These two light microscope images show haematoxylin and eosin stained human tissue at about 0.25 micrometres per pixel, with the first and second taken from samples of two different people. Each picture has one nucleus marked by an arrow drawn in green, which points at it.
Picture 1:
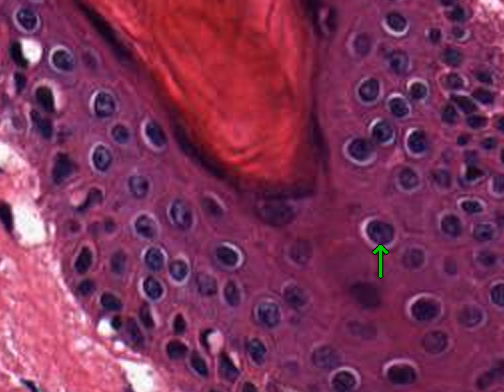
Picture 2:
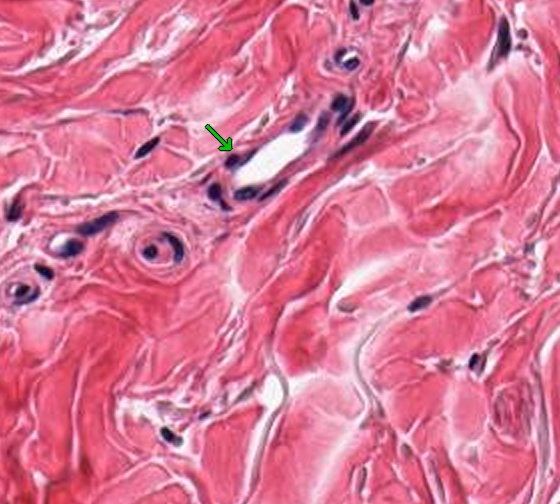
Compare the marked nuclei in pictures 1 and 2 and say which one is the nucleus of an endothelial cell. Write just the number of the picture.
2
